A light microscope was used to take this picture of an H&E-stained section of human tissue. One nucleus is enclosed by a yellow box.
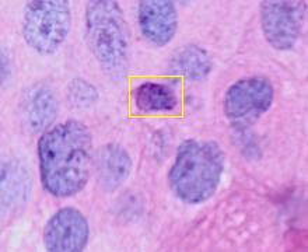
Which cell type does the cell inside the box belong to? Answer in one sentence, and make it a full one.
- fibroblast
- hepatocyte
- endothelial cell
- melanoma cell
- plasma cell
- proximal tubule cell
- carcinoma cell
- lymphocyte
The cell type of the cell inside the box is that of a carcinoma cell.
